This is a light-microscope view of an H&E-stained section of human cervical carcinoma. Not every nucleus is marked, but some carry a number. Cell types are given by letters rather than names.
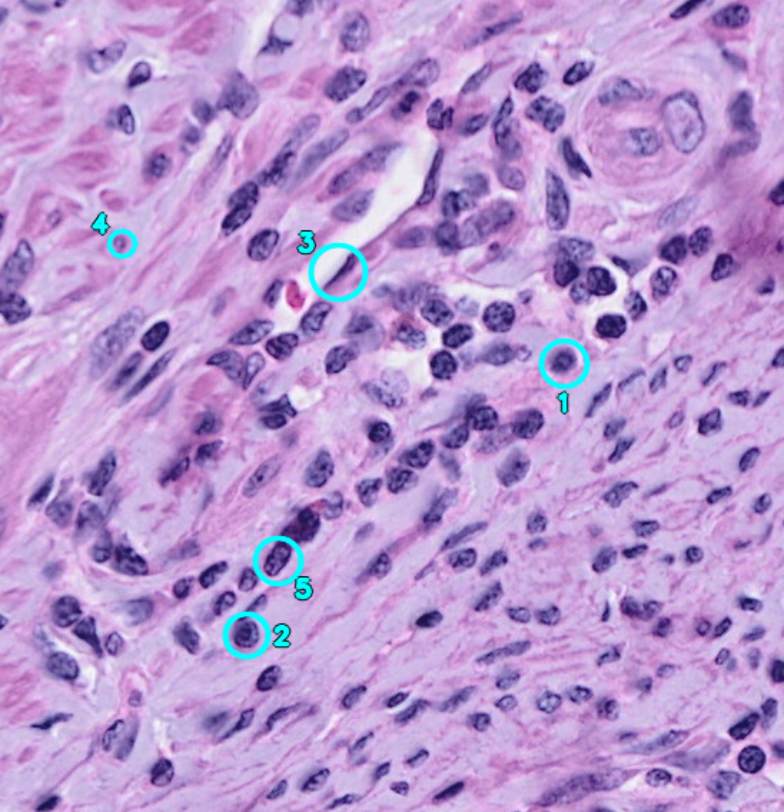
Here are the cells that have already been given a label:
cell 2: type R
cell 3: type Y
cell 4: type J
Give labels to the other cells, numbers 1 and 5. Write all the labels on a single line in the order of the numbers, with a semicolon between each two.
type R; type R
